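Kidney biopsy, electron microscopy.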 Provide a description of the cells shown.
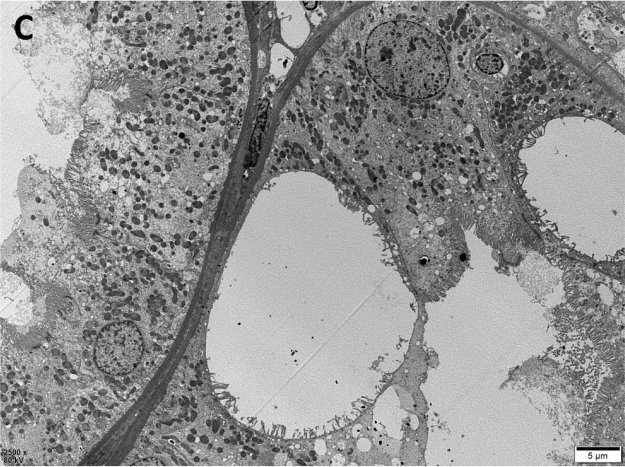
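Proximal tubular epithelial cells with a microvillous brush border facing the lumen and cytoplasm packed with dark mitochondria and lysosome-like bodies. Scattered pale, electron-lucent vacuoles lie within the cytoplasm, and neighbouring tubules are separated by a dense band of basement membrane.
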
